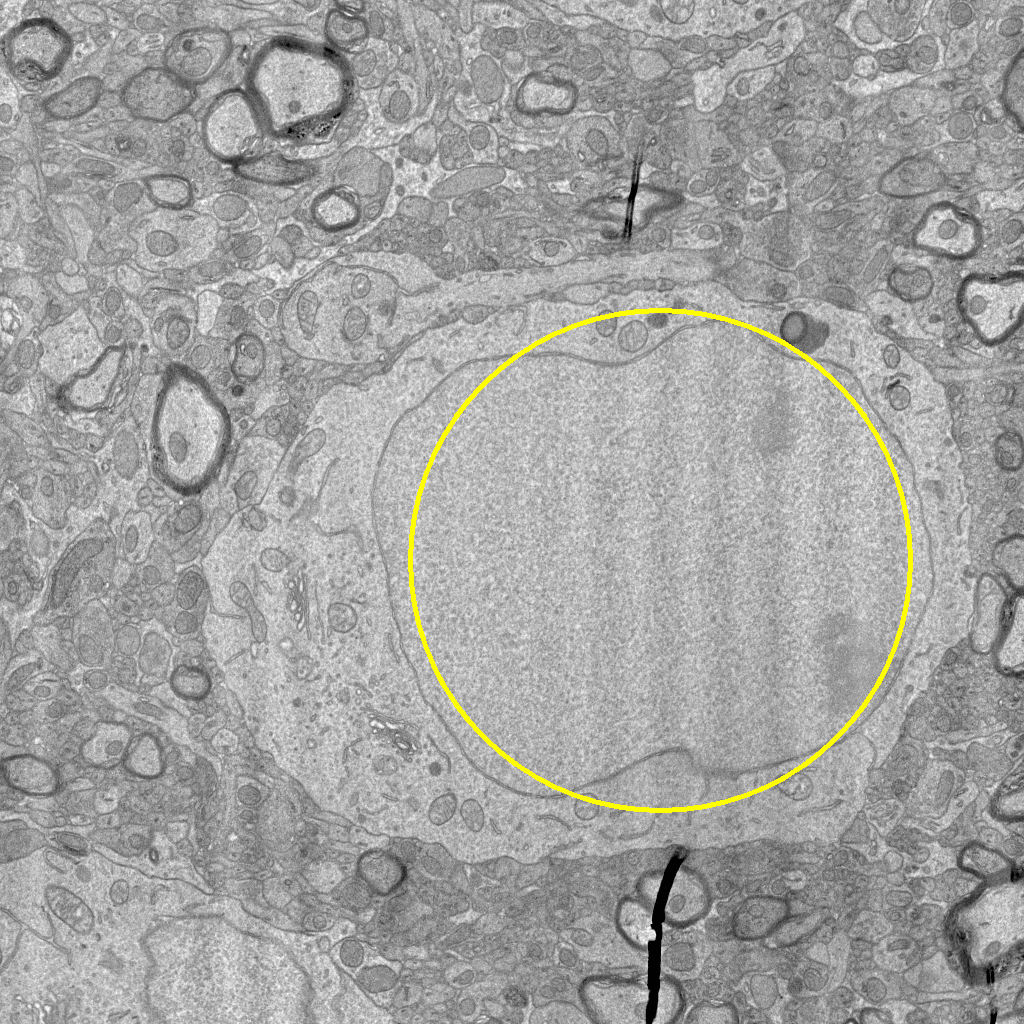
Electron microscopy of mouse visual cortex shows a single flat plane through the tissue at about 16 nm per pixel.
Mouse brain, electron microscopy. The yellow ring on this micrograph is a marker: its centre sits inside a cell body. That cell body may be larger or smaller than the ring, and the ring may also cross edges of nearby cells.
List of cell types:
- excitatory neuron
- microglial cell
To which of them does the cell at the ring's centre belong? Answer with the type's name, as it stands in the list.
excitatory neuron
